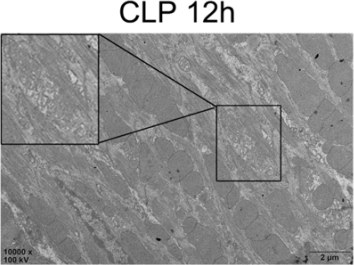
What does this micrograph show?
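This electron micrograph shows heart muscle cells cut lengthwise, with myofibrils running diagonally through the field. The cross-striation of the myofibrils is faint and less regular than in normal muscle. In the enlarged inset, these organelles appear washed out, with poorly outlined membranes and little recognizable cristae. Pale clefts separate bundles of myofibrils, giving the tissue a disorganized look.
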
